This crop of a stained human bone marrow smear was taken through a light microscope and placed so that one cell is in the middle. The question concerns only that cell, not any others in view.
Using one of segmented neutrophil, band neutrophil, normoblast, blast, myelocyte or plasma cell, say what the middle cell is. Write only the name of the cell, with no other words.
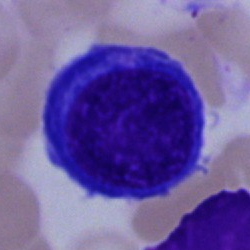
normoblast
